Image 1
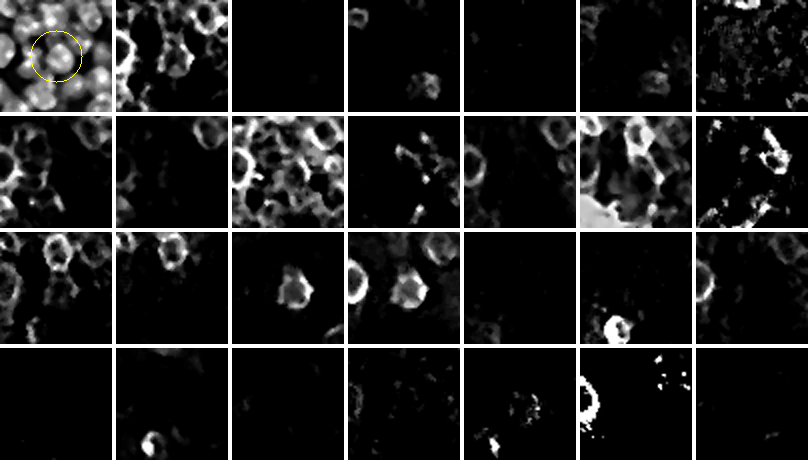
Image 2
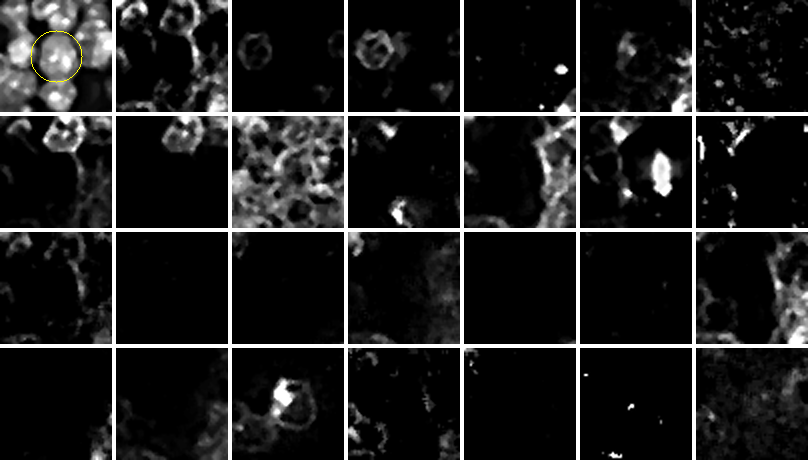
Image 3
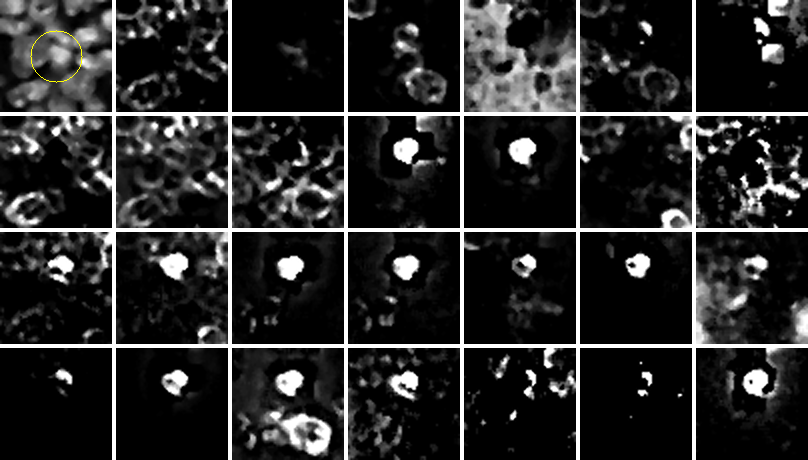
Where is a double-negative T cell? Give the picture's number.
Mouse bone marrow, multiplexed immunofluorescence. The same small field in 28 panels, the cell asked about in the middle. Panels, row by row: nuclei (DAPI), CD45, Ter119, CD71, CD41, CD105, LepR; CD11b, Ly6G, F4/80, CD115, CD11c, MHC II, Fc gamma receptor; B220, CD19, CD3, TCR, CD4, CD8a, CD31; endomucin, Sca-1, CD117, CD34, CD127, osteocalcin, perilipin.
1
